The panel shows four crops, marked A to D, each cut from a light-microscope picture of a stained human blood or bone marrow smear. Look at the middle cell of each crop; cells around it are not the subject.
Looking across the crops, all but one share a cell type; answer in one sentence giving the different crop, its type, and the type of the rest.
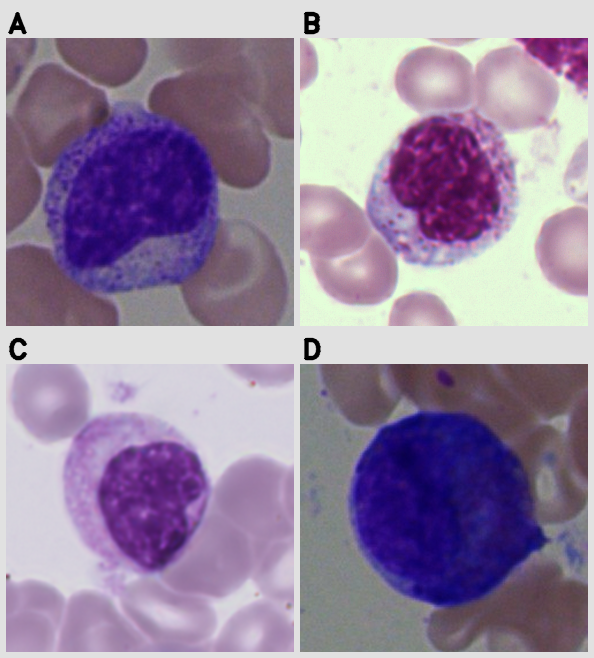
There is an eosinophil in crop D, while all the other crops show metamyelocytes.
